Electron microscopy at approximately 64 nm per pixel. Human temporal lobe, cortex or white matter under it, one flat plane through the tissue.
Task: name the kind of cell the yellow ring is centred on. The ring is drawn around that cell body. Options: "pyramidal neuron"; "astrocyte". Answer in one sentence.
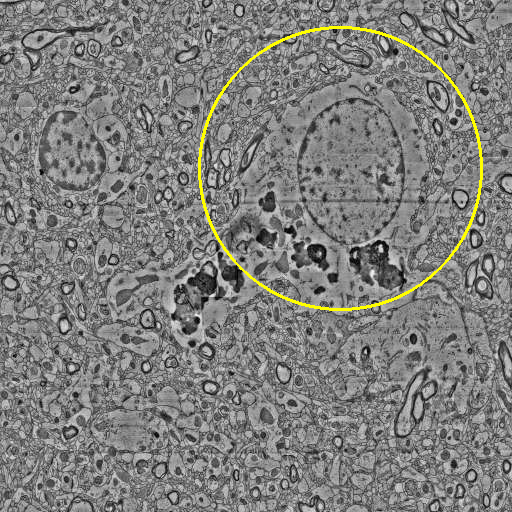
This cell body belongs to an astrocyte.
